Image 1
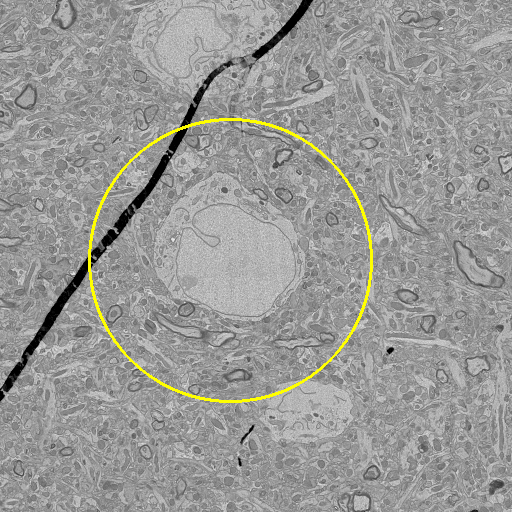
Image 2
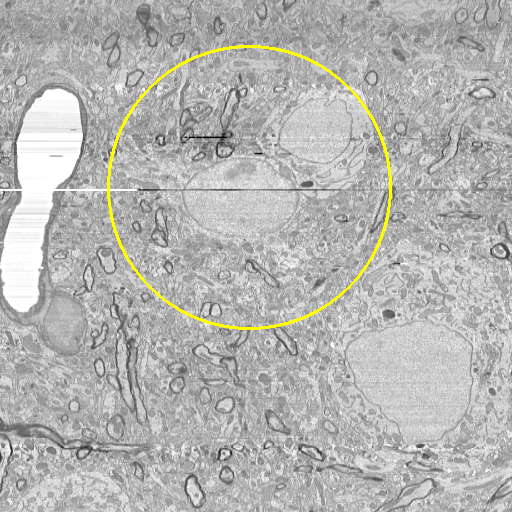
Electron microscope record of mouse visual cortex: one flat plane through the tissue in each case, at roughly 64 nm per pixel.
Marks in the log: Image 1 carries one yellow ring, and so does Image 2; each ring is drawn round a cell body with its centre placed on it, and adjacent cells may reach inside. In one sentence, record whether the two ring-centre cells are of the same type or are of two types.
The two cells at the ring centres, one in each image, are of two types.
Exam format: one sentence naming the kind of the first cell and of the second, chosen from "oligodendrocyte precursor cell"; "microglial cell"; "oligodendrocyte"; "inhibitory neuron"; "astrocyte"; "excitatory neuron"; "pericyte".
The first picture's cell is an excitatory neuron, and the second picture's cell is an astrocyte.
